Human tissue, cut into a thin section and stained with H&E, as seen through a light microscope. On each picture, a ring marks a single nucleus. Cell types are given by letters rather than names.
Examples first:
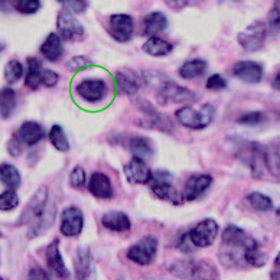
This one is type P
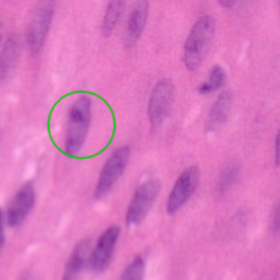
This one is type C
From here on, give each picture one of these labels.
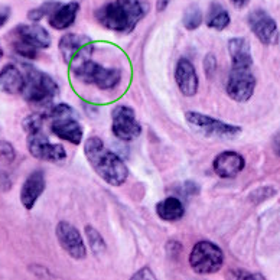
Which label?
type P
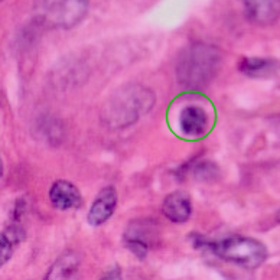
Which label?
type P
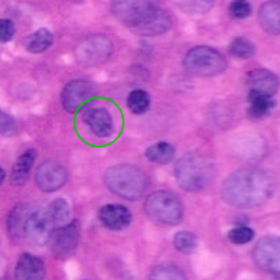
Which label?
type C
